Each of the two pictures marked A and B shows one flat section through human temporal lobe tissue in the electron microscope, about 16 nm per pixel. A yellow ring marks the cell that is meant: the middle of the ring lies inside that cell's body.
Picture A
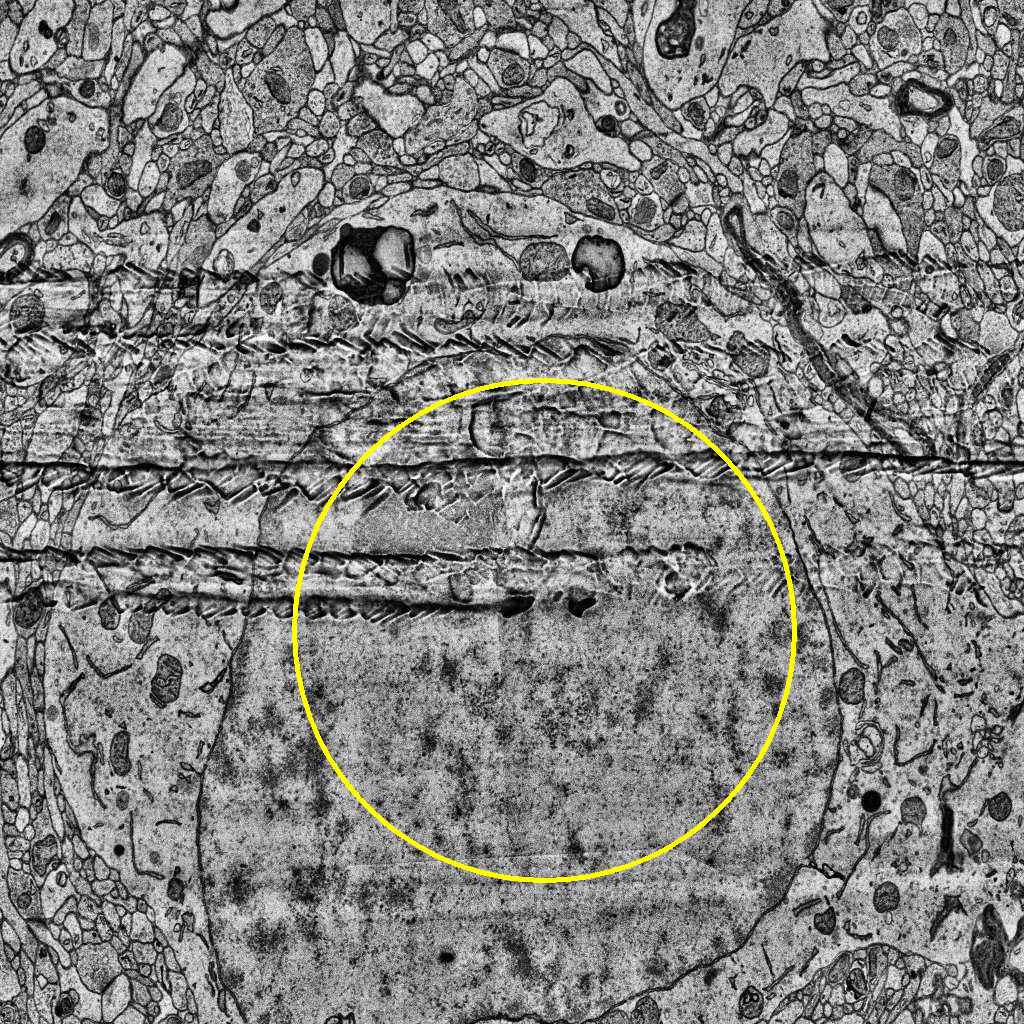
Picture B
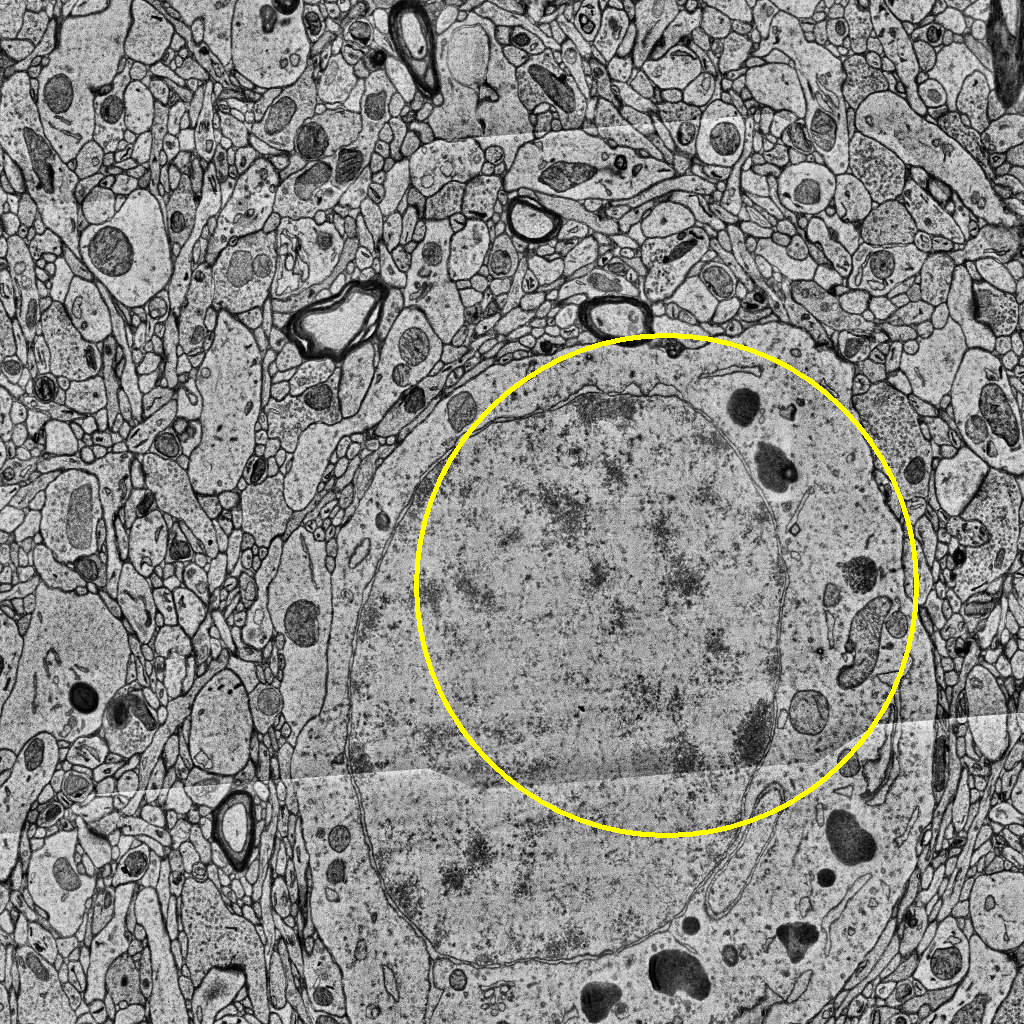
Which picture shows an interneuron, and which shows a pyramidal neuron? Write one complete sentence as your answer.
Picture A shows a pyramidal neuron and picture B shows an interneuron.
